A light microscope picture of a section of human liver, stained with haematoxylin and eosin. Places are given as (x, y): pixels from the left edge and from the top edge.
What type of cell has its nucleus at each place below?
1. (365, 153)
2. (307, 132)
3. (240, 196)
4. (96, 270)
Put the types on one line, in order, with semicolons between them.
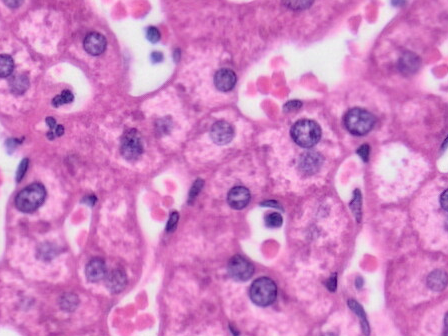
fibroblast or stellate cell; hepatocyte; hepatocyte; hepatocyte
